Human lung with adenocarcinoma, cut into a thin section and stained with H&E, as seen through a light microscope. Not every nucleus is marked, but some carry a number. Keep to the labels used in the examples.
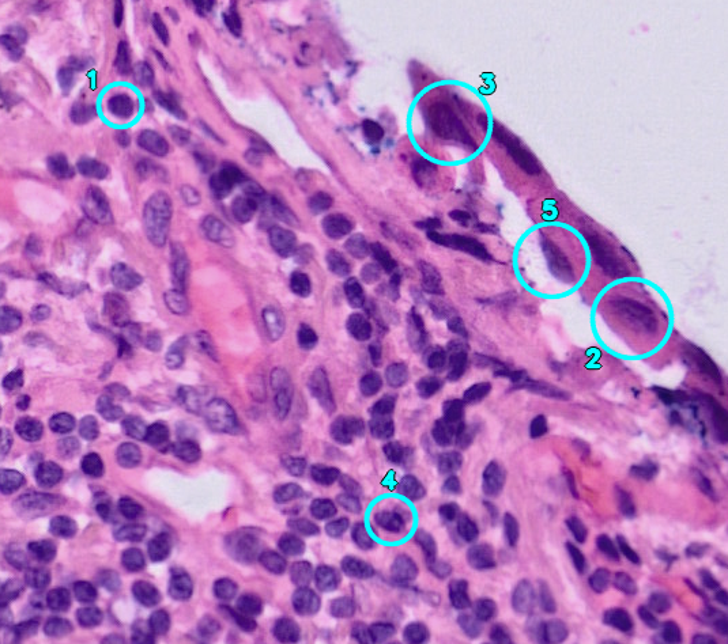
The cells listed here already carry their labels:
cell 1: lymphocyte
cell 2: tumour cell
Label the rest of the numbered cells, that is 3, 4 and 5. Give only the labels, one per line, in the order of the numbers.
tumour cell
lymphocyte
tumour cell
